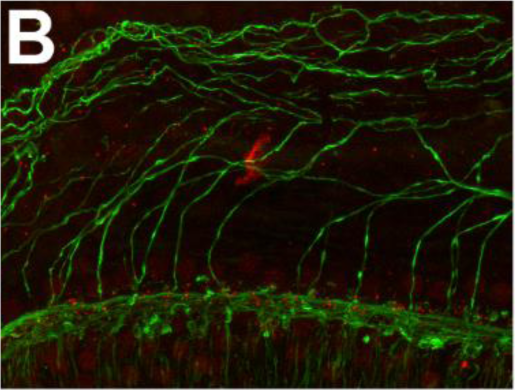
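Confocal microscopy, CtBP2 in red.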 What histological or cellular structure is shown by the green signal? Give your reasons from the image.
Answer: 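Long thin green threads run obliquely across the panel. Many green threads bundle along the top and a dense green band runs along the bottom. So: nerve fibres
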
